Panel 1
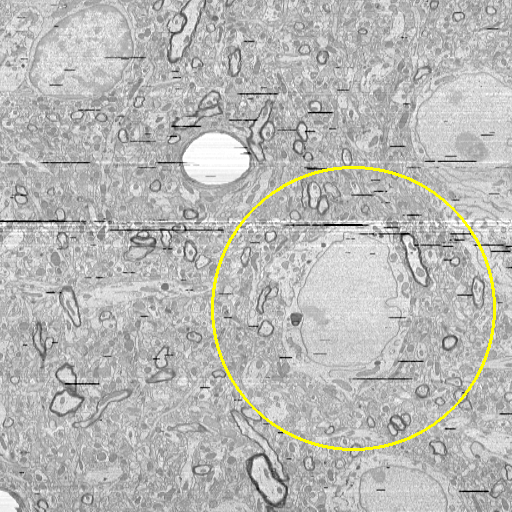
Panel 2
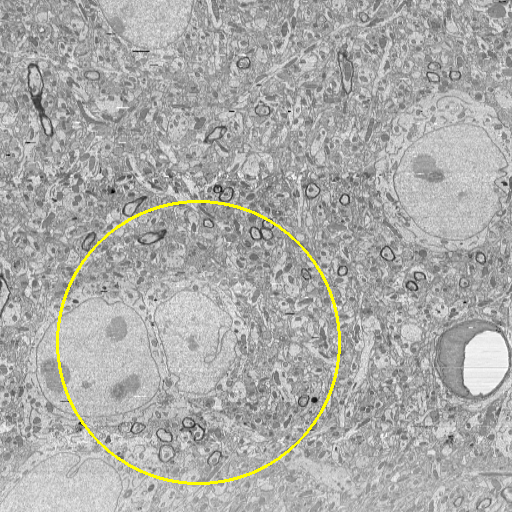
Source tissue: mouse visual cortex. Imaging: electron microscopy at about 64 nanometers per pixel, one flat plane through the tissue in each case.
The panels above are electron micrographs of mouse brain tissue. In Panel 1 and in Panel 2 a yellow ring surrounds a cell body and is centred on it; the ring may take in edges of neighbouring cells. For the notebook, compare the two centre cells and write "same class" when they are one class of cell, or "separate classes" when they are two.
separate classes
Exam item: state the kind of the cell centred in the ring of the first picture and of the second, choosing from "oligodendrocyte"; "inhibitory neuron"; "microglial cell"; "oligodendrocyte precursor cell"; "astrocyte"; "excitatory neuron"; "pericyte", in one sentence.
The first picture shows an excitatory neuron at the ring centre and the second shows an inhibitory neuron.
